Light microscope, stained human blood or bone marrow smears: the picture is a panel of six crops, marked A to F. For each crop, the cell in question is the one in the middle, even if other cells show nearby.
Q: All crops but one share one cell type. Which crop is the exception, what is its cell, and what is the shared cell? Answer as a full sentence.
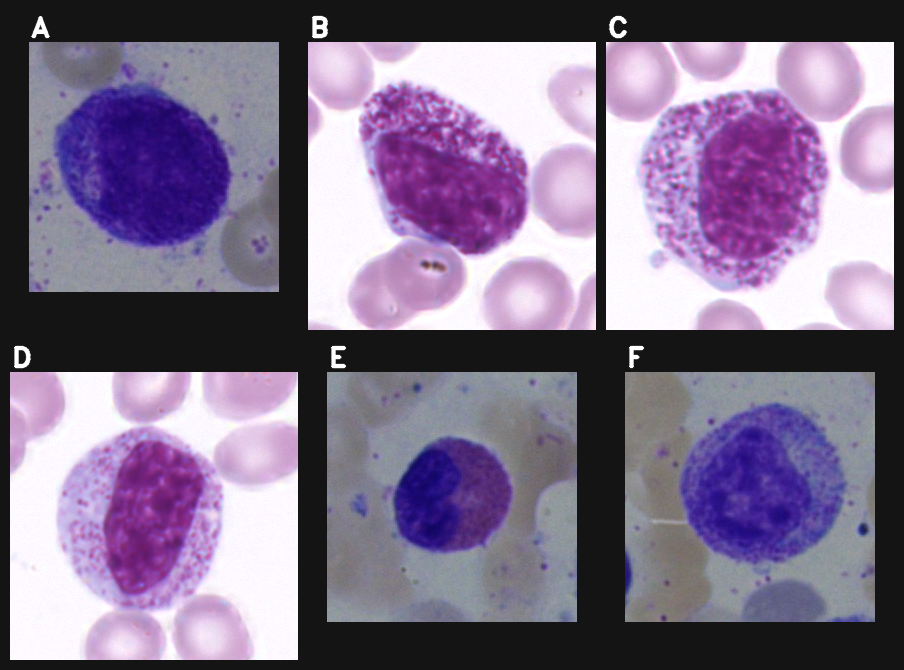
Crop E stands apart as an eosinophil, whereas the remaining crops all show myelocytes.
